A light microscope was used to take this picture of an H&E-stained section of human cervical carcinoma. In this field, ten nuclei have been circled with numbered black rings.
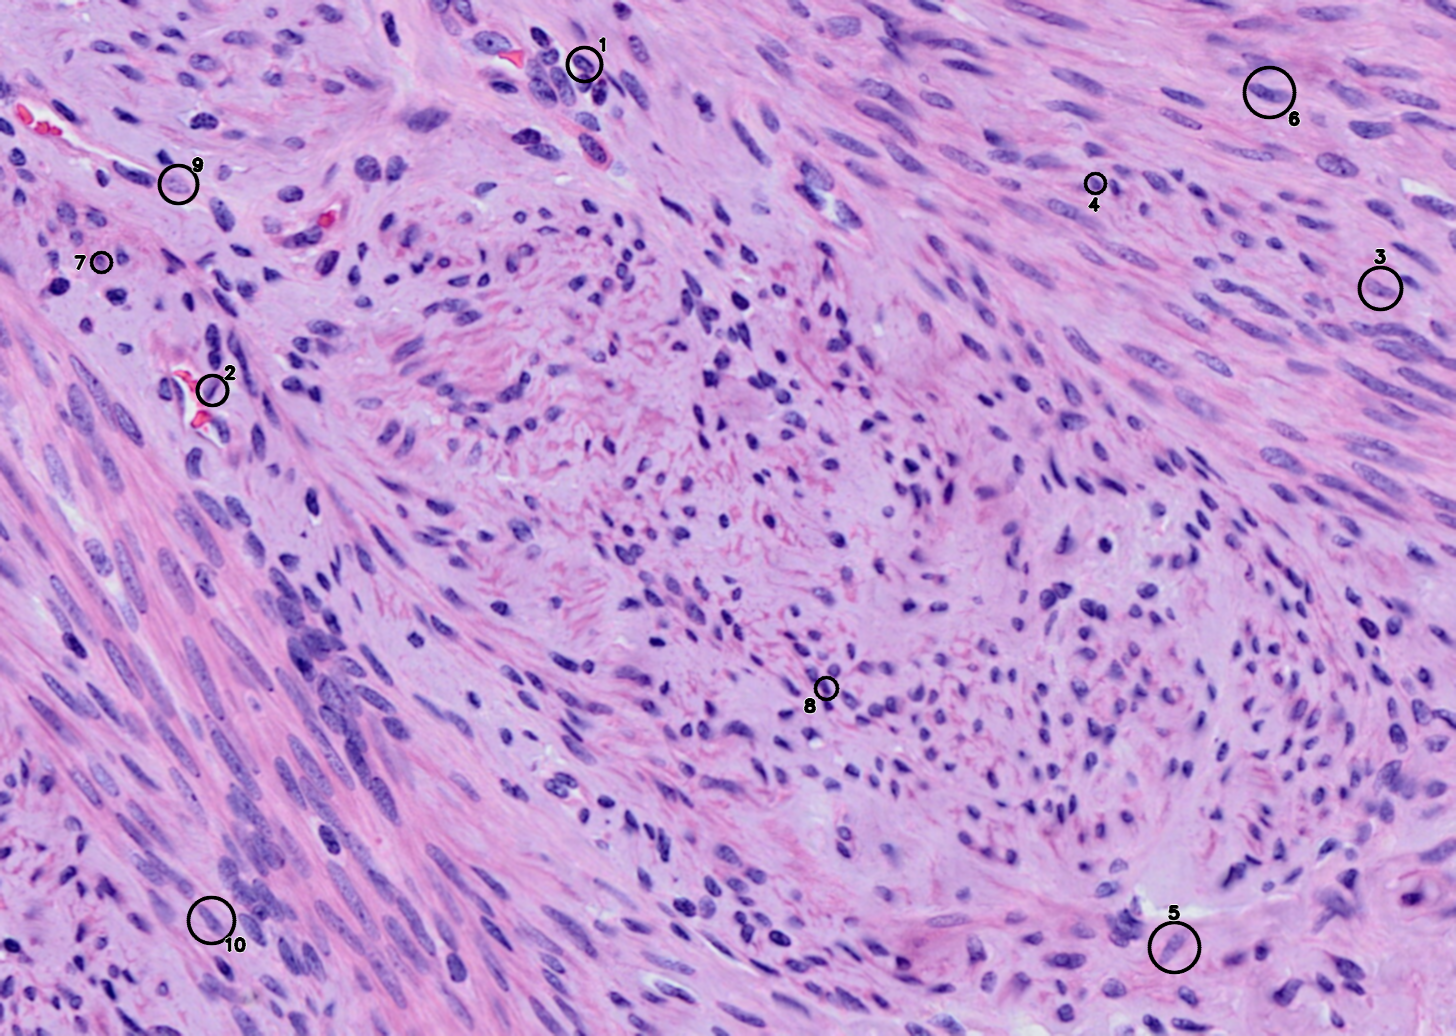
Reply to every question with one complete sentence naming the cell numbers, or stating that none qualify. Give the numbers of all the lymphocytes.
Among the labelled cells, only the cell labelled 1 is a lymphocyte.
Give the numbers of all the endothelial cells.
Cells 2 and 9 in the section are typed as endothelial cells.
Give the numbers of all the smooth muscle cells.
The cells numbered 3, 4, 5, 7, 8 and 10 are of the kind known as smooth muscle cells.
